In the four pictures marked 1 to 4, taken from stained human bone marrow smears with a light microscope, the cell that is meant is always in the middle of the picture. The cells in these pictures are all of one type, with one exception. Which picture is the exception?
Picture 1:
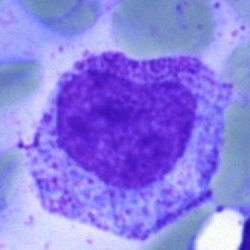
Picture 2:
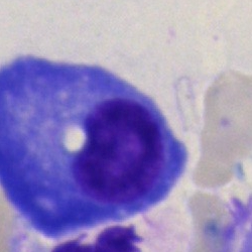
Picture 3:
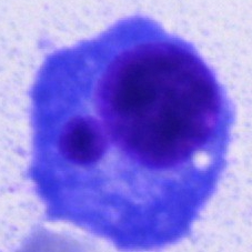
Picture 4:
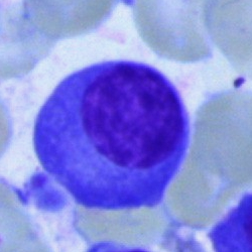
1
